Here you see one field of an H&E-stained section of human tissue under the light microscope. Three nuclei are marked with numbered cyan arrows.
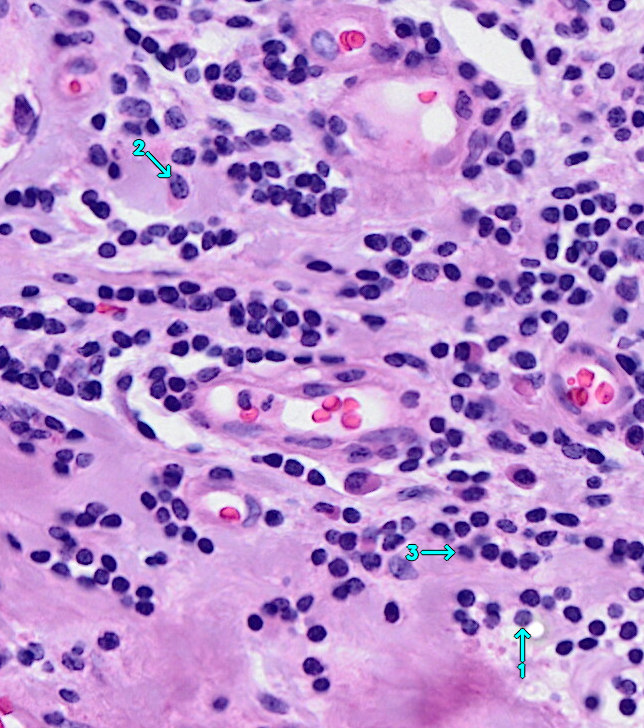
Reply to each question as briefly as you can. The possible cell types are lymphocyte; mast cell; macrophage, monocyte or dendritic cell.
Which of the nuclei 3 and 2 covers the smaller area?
3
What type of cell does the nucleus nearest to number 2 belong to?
lymphocyte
